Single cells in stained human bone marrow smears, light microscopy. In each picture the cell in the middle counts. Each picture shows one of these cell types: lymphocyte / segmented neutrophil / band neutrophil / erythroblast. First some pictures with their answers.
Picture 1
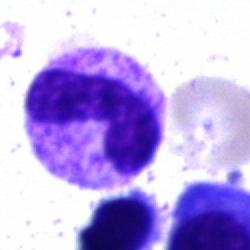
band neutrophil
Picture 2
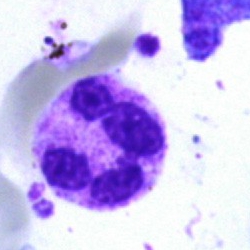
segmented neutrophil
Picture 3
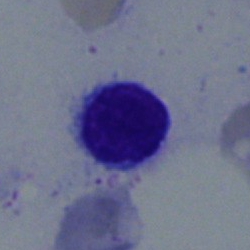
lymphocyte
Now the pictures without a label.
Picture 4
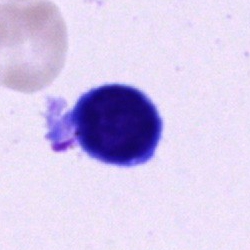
lymphocyte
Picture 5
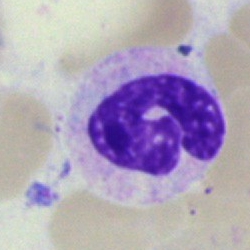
segmented neutrophil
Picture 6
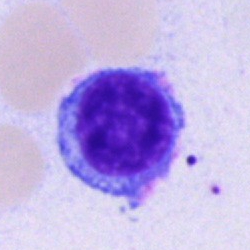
lymphocyte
